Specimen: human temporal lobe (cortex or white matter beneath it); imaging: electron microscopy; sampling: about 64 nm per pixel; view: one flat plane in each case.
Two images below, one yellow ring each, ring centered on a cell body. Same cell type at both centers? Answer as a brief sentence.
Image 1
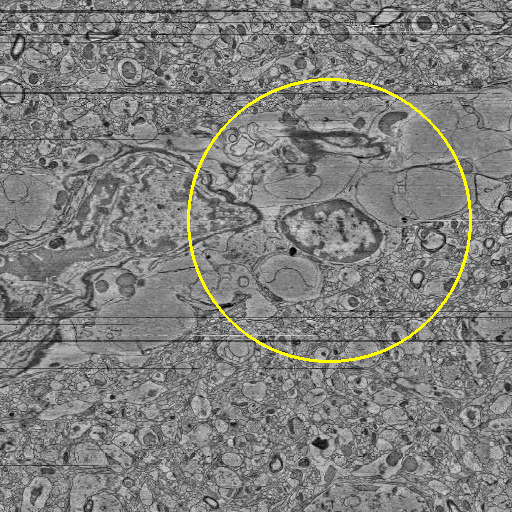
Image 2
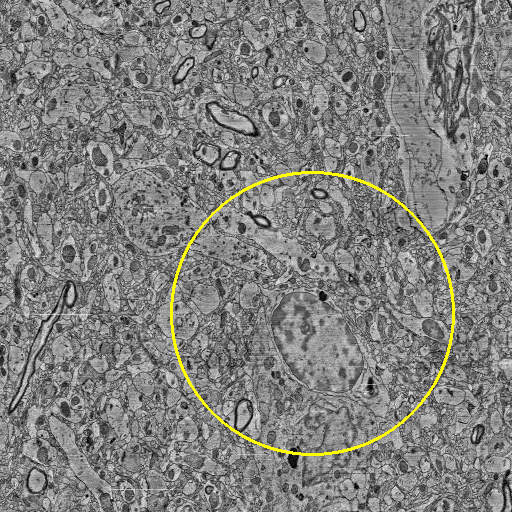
Yes, both cells are of the same type.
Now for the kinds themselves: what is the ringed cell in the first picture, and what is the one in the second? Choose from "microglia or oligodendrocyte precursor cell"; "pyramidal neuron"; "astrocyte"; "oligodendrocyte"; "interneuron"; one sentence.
Both rings mark a microglial cell or oligodendrocyte precursor cell, one in each picture.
